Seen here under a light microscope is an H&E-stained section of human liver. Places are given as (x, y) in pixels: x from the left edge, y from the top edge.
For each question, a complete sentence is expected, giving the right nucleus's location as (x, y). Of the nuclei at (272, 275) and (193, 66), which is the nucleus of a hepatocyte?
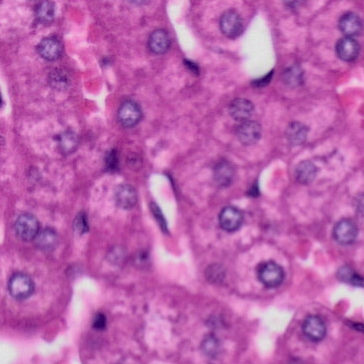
Housed in a hepatocyte is the nucleus at (272, 275), not the other one.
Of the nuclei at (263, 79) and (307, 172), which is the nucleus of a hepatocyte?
It is at (307, 172) that the nucleus of a hepatocyte is found.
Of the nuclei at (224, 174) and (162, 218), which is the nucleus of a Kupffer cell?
In this pair, the nucleus at (162, 218) belongs to a Kupffer cell.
